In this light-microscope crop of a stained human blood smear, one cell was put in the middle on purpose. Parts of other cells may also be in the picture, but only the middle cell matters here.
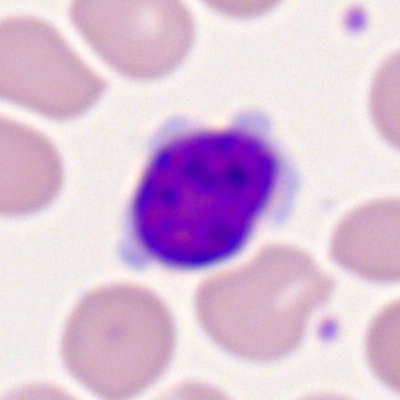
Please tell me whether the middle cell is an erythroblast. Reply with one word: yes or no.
no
